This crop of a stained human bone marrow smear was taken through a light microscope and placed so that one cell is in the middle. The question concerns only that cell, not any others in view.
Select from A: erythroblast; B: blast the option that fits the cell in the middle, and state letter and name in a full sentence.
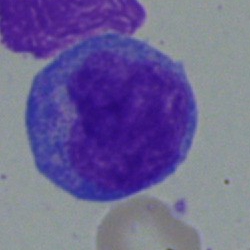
Option B stands as correct, the central cell being a blast.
